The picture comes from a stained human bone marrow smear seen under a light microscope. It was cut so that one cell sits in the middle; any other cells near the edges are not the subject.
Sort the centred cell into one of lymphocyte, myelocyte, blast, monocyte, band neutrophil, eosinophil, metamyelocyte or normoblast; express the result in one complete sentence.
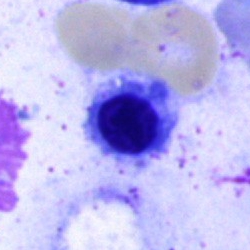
The cell at the middle of the crop is recognized as a normoblast.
